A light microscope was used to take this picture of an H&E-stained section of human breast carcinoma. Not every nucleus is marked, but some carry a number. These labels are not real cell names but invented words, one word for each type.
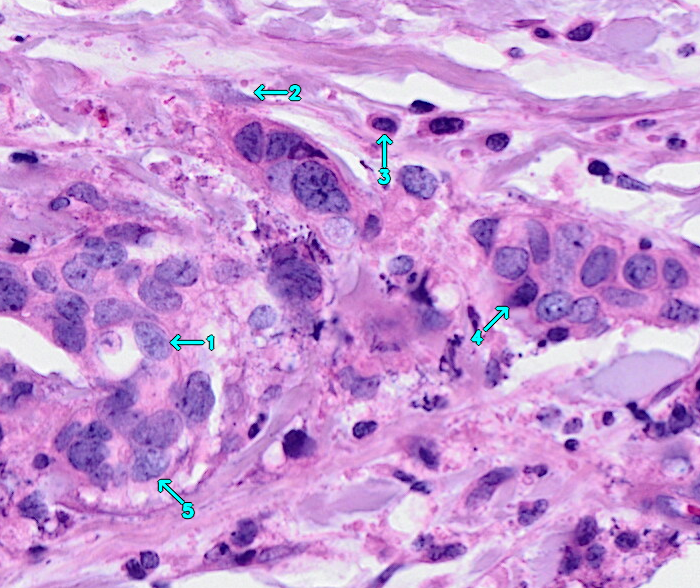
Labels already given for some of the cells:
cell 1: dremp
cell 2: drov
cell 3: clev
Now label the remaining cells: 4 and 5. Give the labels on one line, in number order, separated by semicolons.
dremp; dremp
